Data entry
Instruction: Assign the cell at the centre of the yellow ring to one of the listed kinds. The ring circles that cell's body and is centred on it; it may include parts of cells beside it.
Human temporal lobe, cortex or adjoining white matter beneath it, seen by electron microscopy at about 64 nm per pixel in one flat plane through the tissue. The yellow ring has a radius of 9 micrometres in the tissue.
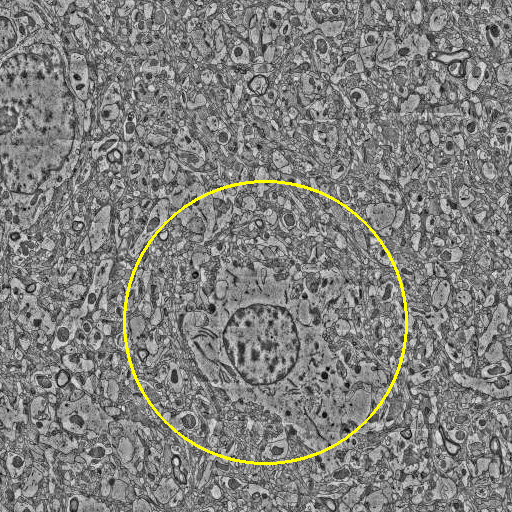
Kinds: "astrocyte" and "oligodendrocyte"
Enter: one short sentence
The centre of the ring falls on an astrocyte.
